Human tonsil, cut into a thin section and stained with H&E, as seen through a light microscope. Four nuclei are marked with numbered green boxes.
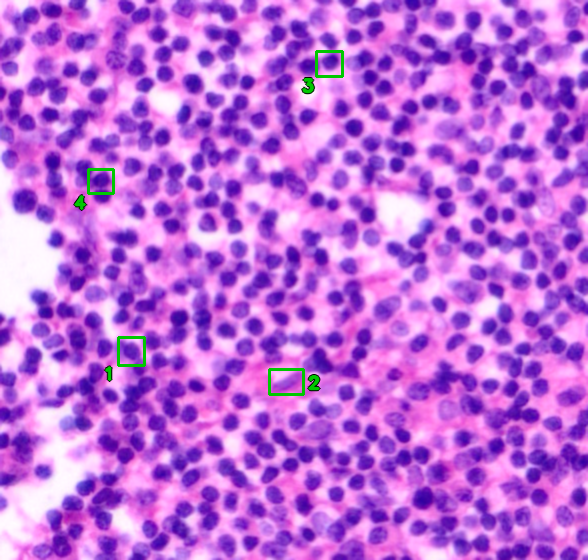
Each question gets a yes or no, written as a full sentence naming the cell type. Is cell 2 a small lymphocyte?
No, cell 2 is not to be taken for a small lymphocyte; it is an endothelial cell.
